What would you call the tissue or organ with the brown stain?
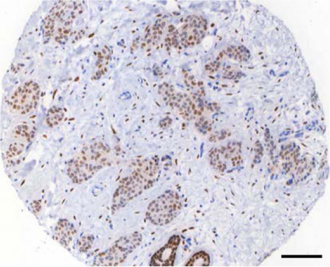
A: Tumour epithelium.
